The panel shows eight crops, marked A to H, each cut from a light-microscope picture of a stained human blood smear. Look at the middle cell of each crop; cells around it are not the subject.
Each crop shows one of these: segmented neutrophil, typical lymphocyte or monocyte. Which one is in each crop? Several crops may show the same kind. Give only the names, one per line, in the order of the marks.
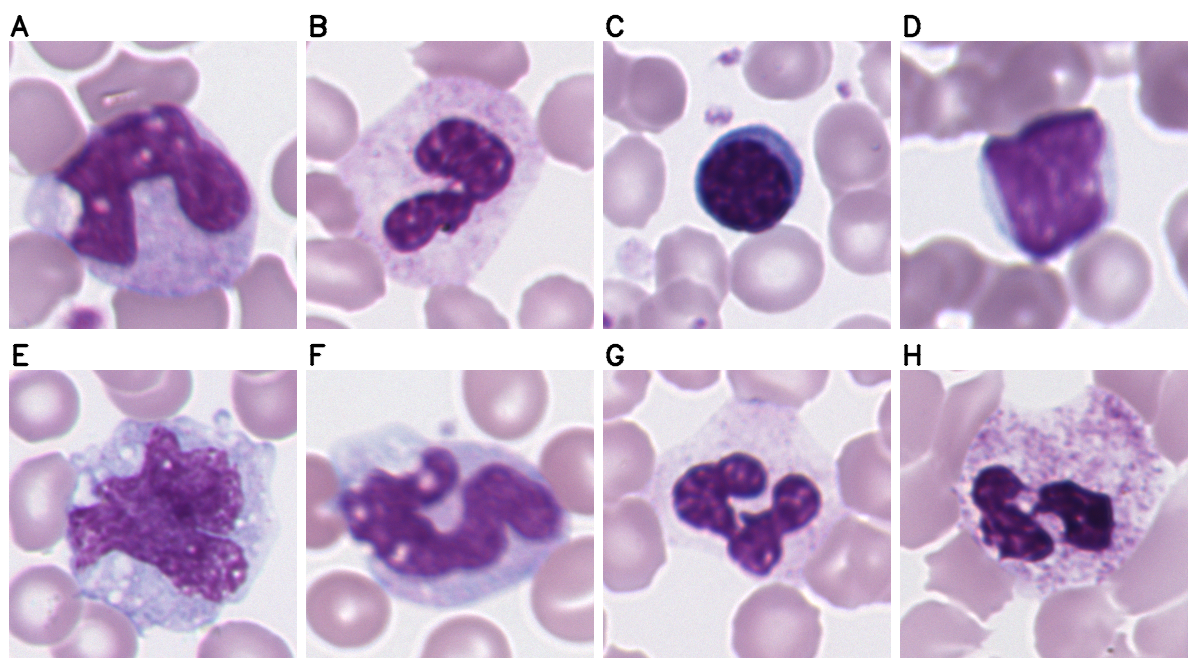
monocyte
segmented neutrophil
typical lymphocyte
typical lymphocyte
monocyte
monocyte
segmented neutrophil
segmented neutrophil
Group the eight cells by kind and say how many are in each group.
monocyte: 3
segmented neutrophil: 3
typical lymphocyte: 2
